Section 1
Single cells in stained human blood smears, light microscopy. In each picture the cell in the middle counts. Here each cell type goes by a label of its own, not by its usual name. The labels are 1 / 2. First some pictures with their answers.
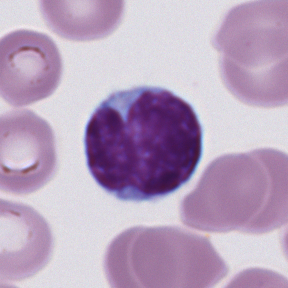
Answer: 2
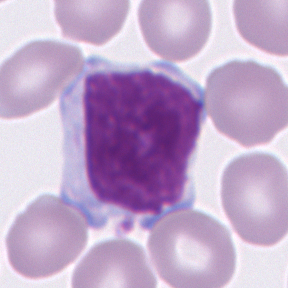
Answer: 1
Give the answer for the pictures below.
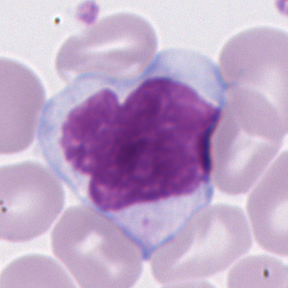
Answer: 1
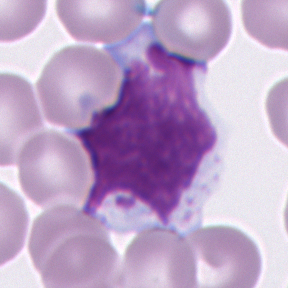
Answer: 1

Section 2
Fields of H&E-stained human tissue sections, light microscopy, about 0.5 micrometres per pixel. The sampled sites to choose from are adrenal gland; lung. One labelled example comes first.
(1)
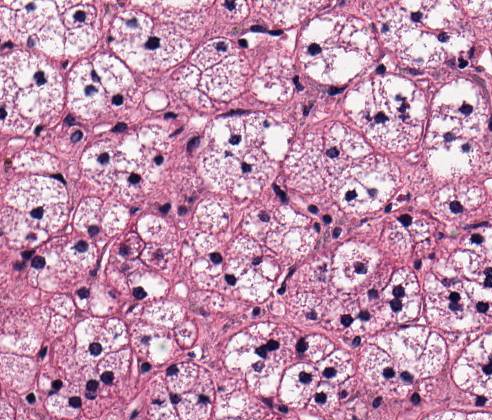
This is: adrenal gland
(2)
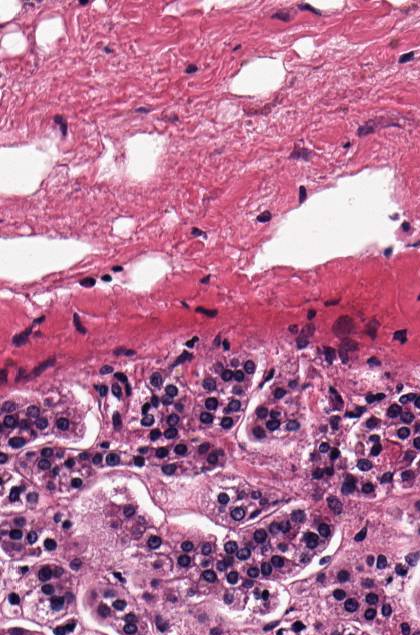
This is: adrenal gland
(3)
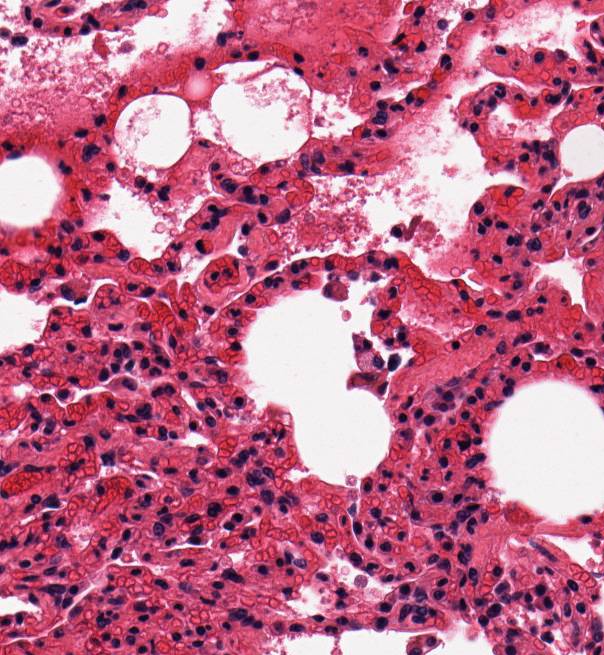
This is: lung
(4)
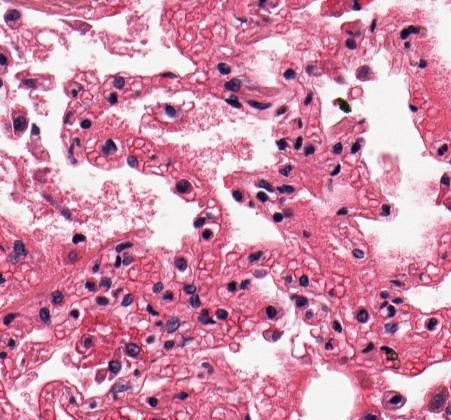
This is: lung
